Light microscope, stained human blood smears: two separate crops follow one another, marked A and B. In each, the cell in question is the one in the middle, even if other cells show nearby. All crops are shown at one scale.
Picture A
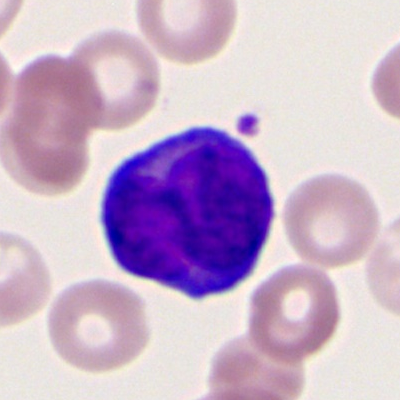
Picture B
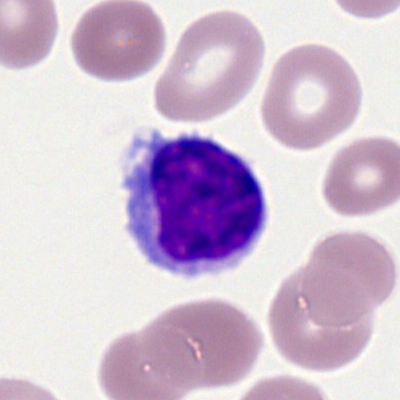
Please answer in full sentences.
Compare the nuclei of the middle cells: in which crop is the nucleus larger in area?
Larger is the nucleus in picture A, at roughly 2 times the area of the other.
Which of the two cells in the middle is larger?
The cell in picture A is larger, with about 1.5 times the area of the one in picture B.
